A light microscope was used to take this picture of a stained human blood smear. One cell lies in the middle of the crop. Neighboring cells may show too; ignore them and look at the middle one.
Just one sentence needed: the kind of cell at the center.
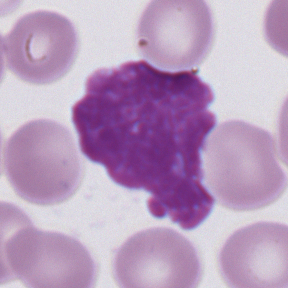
This crop is built around a smudge cell at its centre.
